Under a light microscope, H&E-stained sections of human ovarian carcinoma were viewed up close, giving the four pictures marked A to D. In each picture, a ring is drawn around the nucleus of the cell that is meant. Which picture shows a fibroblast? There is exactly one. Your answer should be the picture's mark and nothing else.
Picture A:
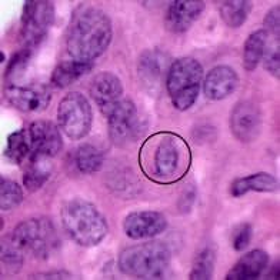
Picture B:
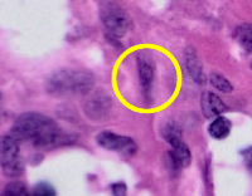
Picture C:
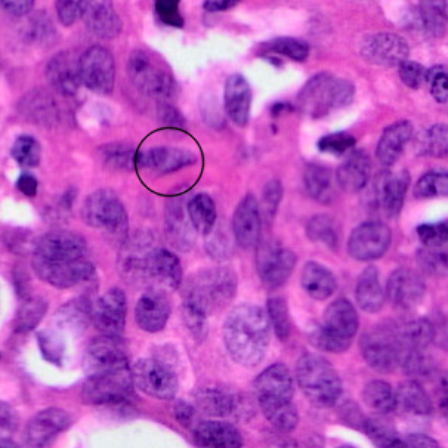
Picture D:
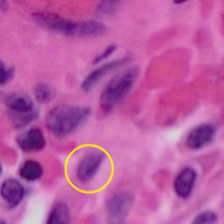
D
